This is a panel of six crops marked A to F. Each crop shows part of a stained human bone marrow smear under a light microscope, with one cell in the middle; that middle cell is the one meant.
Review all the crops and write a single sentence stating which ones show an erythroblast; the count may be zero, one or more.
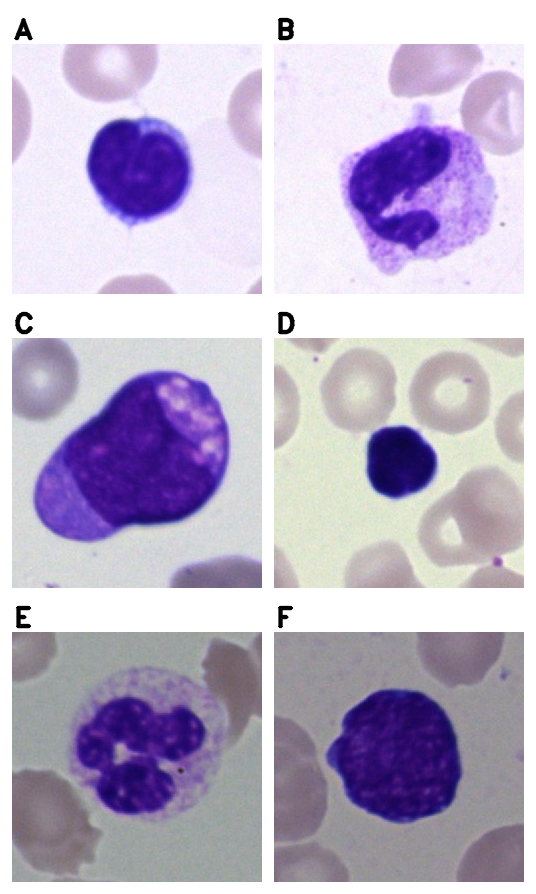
No crop shows an erythroblast as its central cell.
